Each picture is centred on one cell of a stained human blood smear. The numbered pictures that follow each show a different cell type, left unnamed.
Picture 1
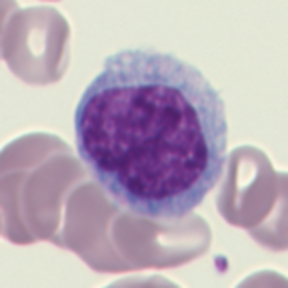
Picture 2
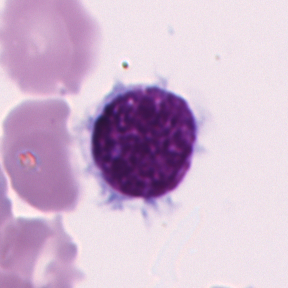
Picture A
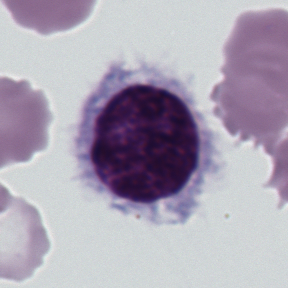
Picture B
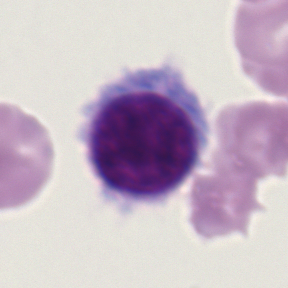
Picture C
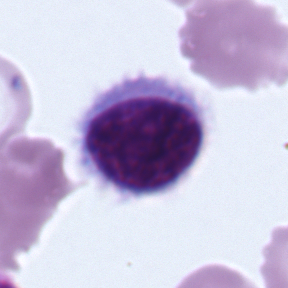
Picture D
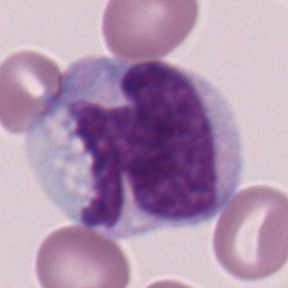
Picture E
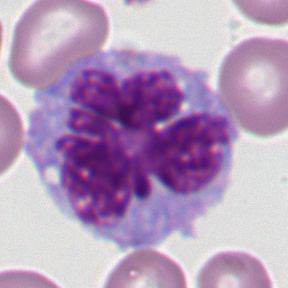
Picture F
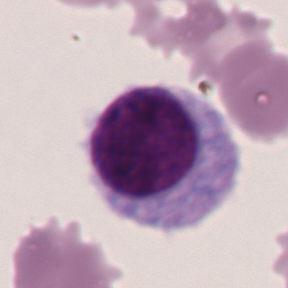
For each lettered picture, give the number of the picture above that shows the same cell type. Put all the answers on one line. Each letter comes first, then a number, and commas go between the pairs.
A 2, B 2, C 2, D 1, E 1, F 2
